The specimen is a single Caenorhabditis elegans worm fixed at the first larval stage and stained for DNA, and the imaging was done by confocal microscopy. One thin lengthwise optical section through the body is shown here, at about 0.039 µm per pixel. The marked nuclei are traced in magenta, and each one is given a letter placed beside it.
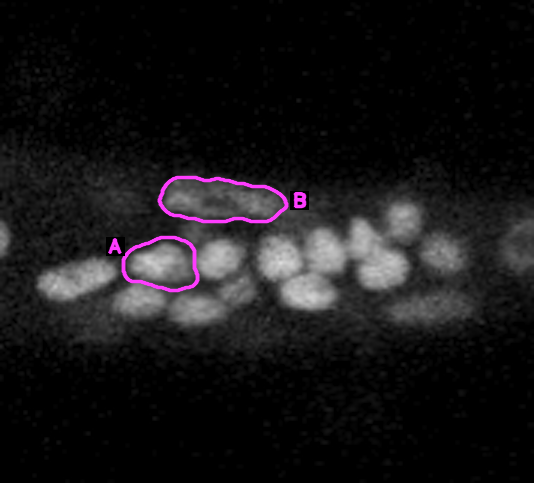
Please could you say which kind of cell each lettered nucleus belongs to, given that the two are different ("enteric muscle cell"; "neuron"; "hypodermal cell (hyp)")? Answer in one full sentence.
A is the nucleus of an enteric muscle cell; B is the nucleus of a hypodermal cell (hyp).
